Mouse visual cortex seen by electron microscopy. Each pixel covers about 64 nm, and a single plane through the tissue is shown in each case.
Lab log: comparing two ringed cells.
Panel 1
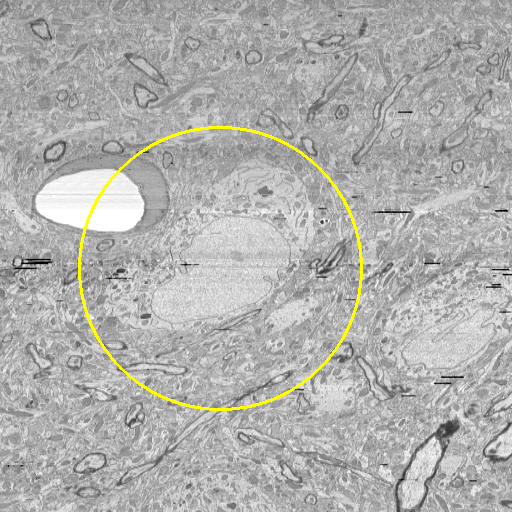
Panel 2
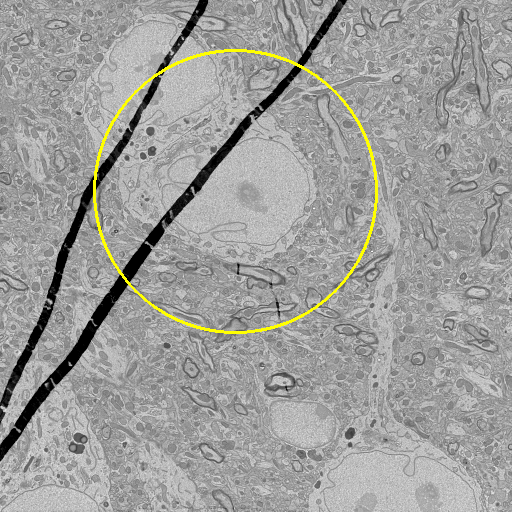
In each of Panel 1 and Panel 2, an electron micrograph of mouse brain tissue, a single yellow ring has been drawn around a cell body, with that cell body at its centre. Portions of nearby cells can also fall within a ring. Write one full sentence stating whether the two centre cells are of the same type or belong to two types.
The cells at the ring centres in Panel 1 and Panel 2 are of the same type.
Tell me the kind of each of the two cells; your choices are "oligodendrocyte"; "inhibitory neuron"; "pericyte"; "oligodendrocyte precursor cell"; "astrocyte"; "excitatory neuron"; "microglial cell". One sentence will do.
Each of the two rings is centred on an excitatory neuron.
